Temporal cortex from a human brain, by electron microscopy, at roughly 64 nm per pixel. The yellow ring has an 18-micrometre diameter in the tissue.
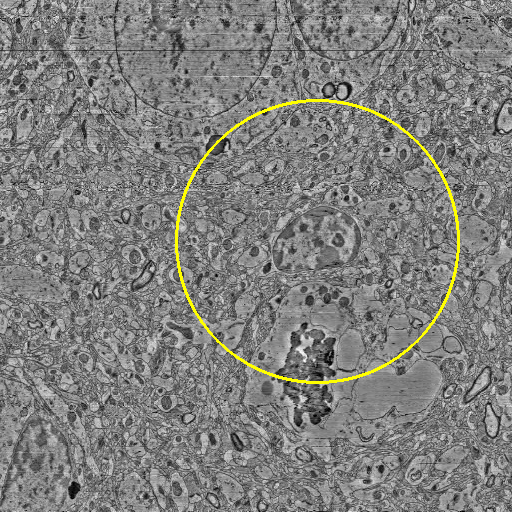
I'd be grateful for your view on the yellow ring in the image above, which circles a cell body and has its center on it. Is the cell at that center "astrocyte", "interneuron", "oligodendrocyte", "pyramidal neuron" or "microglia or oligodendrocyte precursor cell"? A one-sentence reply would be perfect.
The cell at the center of the yellow ring is a microglial cell or oligodendrocyte precursor cell.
